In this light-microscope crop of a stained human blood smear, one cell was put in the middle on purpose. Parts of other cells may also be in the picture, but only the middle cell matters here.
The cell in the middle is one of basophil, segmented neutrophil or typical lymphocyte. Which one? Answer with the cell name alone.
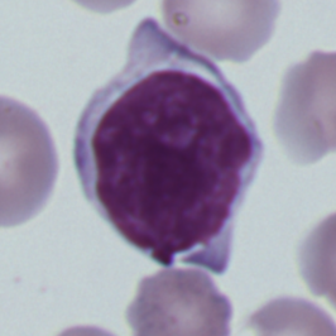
typical lymphocyte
